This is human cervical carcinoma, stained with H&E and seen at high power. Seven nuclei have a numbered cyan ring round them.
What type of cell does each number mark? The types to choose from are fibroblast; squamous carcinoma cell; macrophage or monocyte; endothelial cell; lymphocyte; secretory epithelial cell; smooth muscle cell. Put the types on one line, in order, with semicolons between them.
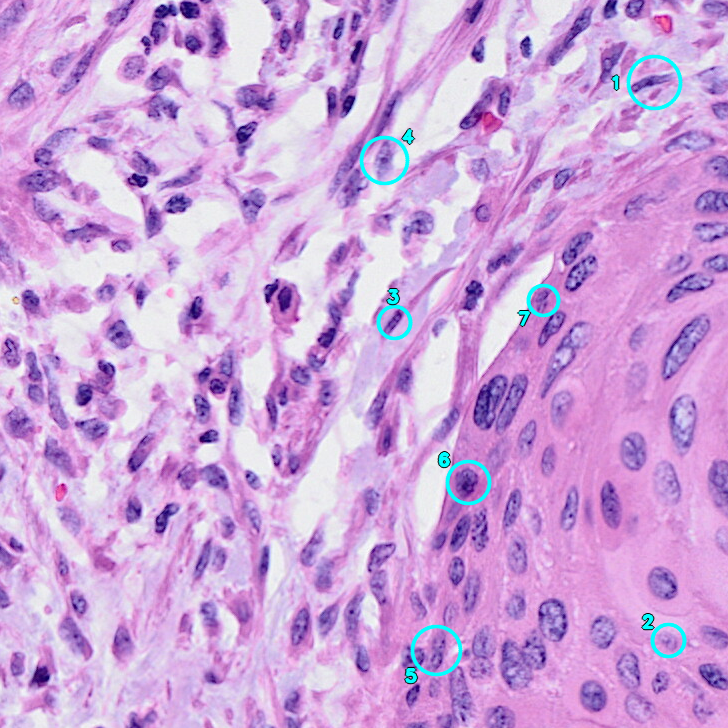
fibroblast; squamous carcinoma cell; fibroblast; fibroblast; squamous carcinoma cell; squamous carcinoma cell; squamous carcinoma cell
